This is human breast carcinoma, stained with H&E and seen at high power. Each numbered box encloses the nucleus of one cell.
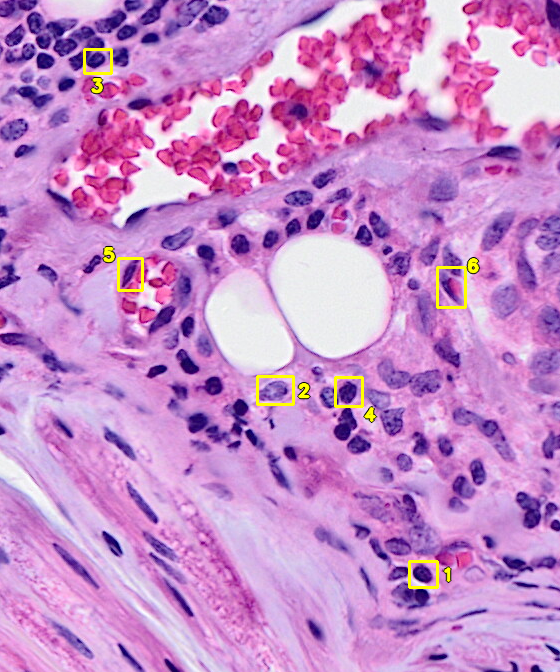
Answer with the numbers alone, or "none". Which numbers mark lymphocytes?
1, 3, 4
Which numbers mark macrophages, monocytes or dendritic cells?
2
